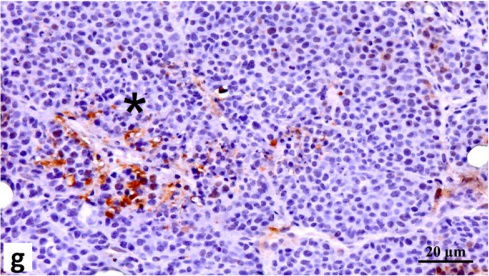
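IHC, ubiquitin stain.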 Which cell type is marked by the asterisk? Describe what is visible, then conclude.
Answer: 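Cluster of brown-stained cells near the asterisk. Dense sheet of cells with oval nuclei and little cytoplasm. That points to this answer: cancer cells.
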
